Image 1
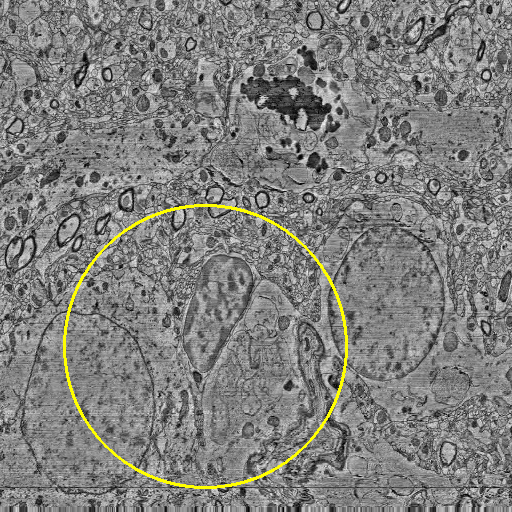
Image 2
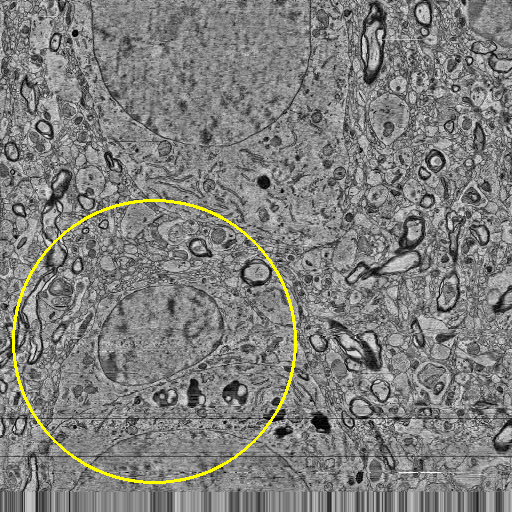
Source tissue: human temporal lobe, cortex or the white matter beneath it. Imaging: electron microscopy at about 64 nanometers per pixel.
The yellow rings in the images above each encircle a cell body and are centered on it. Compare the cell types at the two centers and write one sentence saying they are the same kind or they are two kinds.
Taken together, the two cells at the ring centers are the same kind.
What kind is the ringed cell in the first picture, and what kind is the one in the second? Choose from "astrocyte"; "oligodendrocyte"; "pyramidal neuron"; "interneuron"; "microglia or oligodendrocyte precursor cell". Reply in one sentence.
The cell in the first picture is a microglial cell or oligodendrocyte precursor cell, and so is the one in the second.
